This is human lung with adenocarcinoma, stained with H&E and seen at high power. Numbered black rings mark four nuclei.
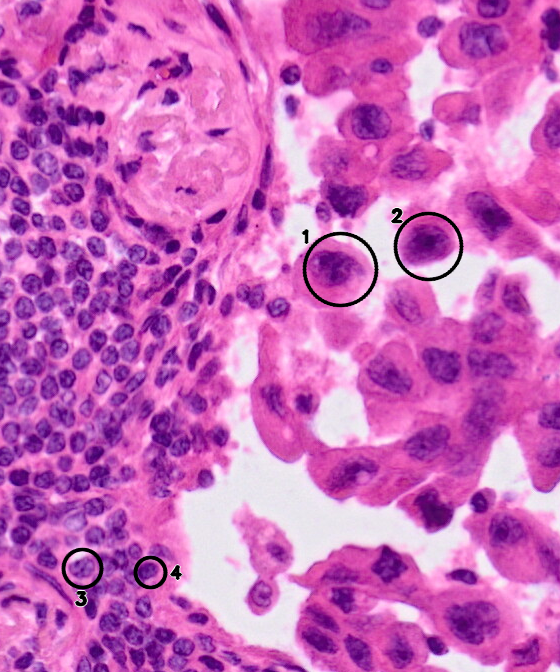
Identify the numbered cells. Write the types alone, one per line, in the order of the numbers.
carcinoma cell
carcinoma cell
lymphocyte
lymphocyte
